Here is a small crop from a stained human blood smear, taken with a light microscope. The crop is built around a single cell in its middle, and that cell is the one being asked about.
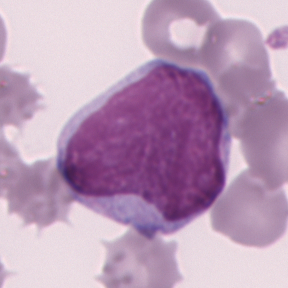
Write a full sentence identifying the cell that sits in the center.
The cell around which this crop is centred is a myeloblast.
